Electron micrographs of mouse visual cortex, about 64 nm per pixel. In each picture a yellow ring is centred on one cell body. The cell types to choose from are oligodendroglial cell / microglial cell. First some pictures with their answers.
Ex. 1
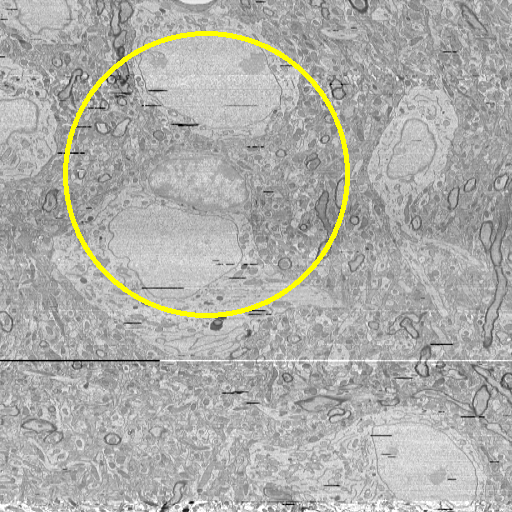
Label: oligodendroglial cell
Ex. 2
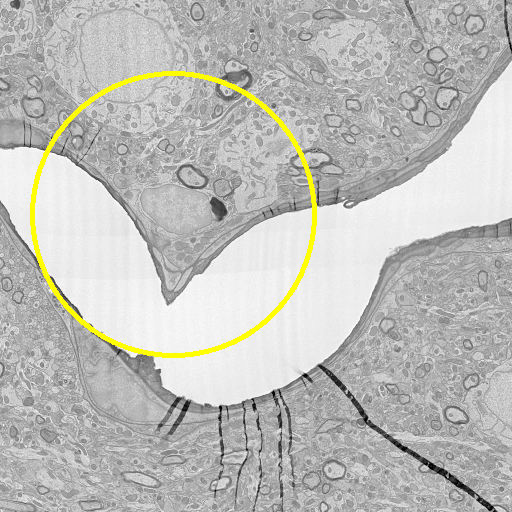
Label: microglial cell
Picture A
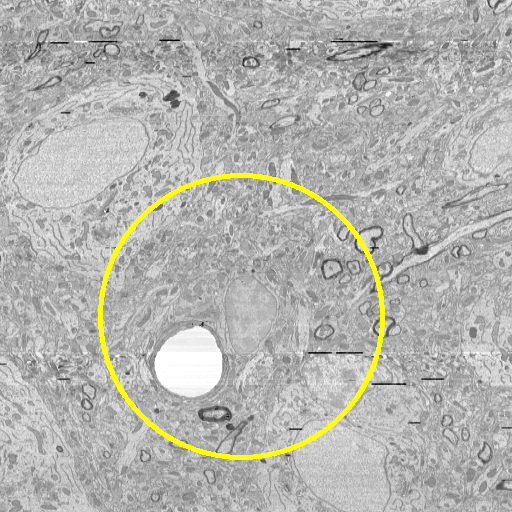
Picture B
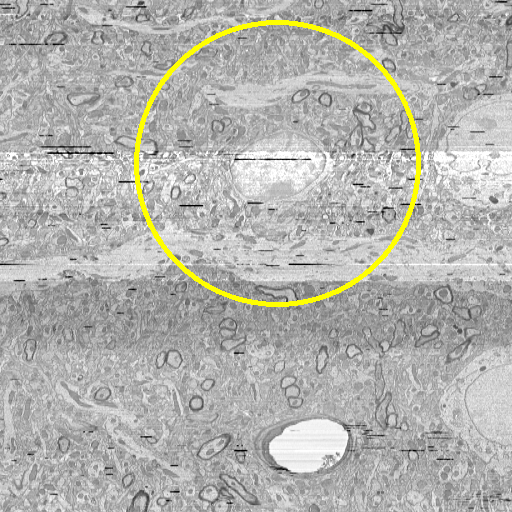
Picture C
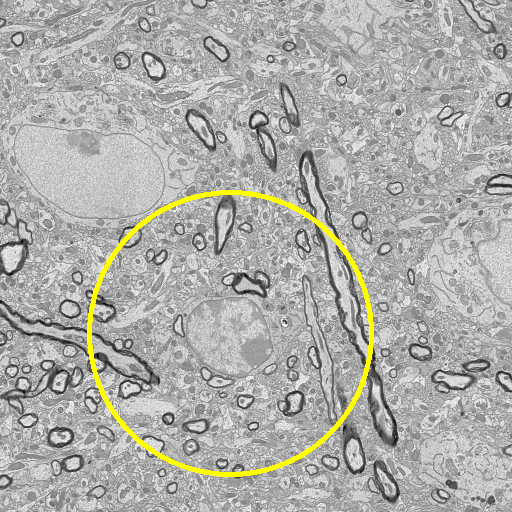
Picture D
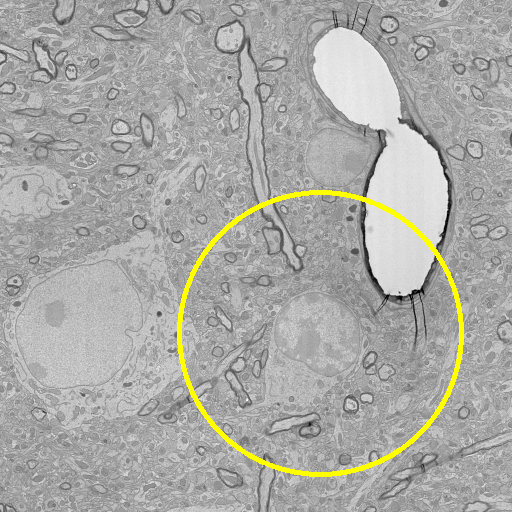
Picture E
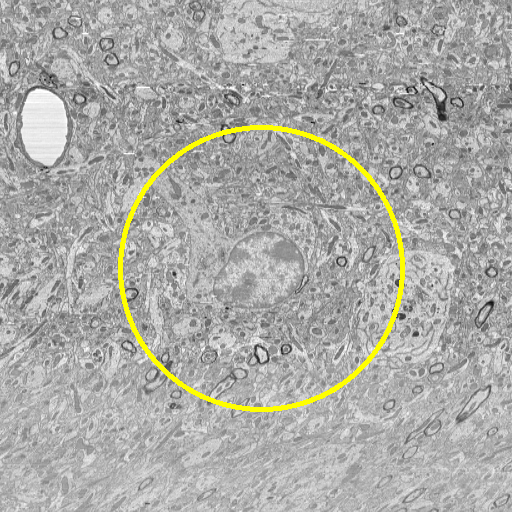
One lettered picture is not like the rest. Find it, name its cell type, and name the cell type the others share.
Exception: A, showing microglial cell. Remaining pictures: oligodendroglial cell.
